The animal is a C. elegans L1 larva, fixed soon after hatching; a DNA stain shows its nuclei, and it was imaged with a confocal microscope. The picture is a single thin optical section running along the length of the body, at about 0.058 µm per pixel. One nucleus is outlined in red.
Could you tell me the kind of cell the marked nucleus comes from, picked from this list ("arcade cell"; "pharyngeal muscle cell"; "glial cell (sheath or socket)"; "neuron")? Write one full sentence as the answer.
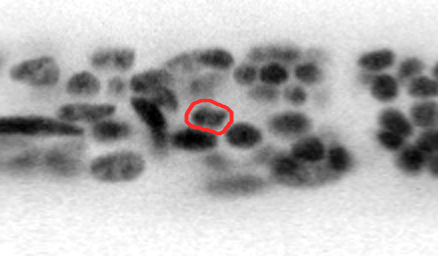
This nucleus is from a pharyngeal muscle cell.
